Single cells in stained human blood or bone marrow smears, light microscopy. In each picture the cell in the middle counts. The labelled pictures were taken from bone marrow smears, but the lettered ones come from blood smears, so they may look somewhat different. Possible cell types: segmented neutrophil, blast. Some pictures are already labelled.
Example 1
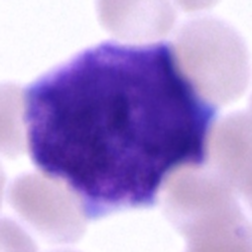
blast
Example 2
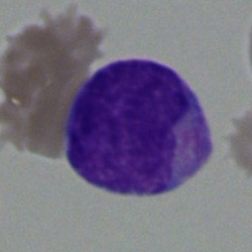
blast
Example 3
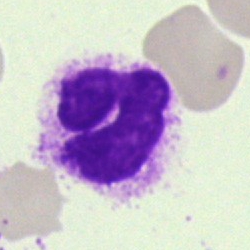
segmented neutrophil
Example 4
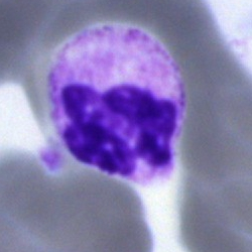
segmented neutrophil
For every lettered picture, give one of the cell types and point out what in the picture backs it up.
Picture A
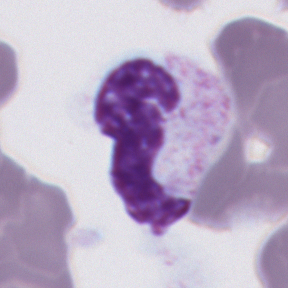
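segmented neutrophil. The cytoplasm is pale pink rather than blue.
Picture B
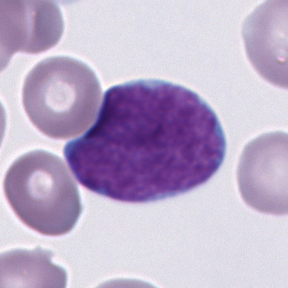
blast. The cytoplasm is only a very thin rim around the nucleus.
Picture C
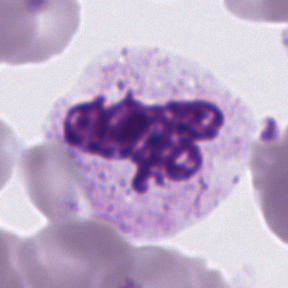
segmented neutrophil. The cytoplasm is abundant and pale pinkish-lilac.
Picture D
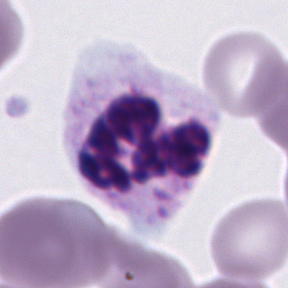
segmented neutrophil. The cytoplasm is plentiful and pale pinkish-lilac.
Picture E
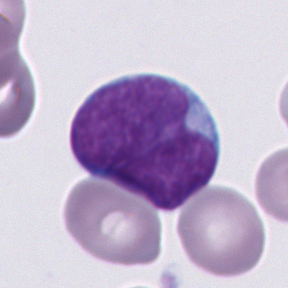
blast. Cytoplasm is scant, forming only a thin rim around the nucleus.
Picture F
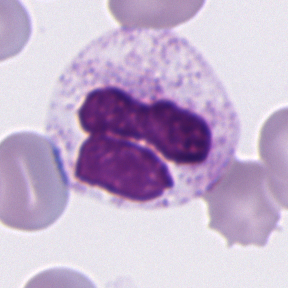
segmented neutrophil. The cytoplasm is plentiful and very pale, almost colourless.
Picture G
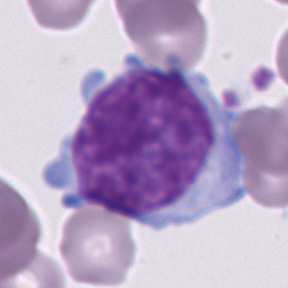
blast. The nucleus fills most of the cell.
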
